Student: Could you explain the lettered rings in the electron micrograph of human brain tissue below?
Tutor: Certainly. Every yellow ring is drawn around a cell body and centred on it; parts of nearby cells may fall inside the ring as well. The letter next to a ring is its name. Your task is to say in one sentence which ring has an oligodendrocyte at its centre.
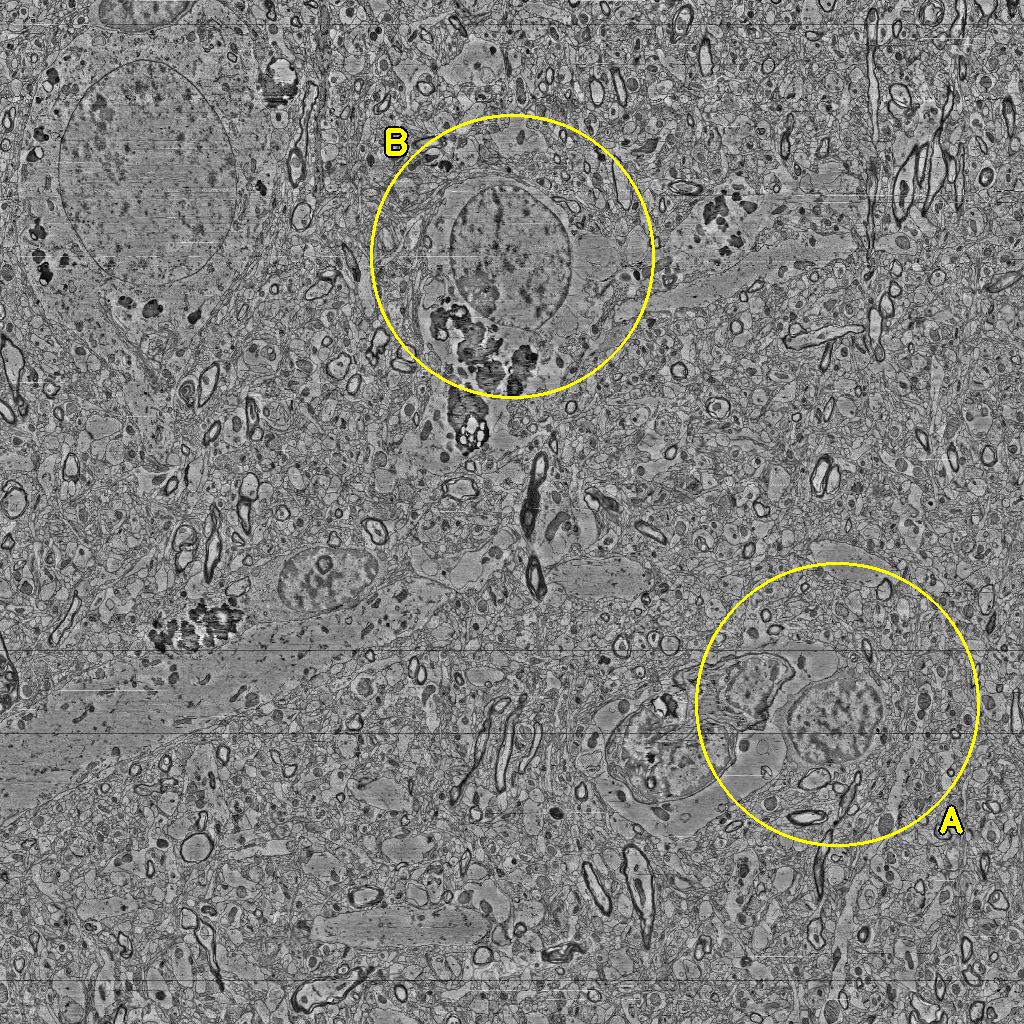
The cell at the centre of ring A is the one.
